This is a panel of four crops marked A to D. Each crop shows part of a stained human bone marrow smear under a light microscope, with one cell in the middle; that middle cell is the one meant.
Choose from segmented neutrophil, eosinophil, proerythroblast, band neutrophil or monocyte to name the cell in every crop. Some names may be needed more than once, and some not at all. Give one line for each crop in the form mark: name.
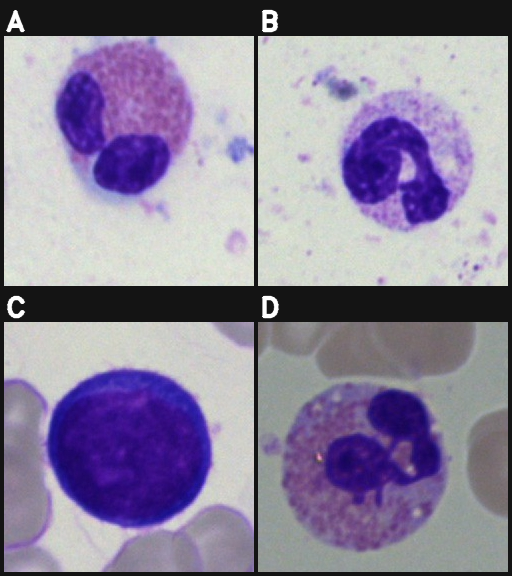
A: eosinophil
B: segmented neutrophil
C: proerythroblast
D: eosinophil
